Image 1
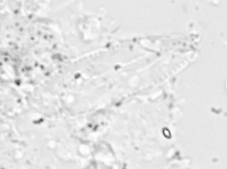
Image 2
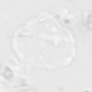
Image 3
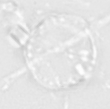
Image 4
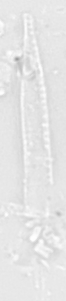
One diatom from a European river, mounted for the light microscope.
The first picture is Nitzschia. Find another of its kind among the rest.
Picture 4.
